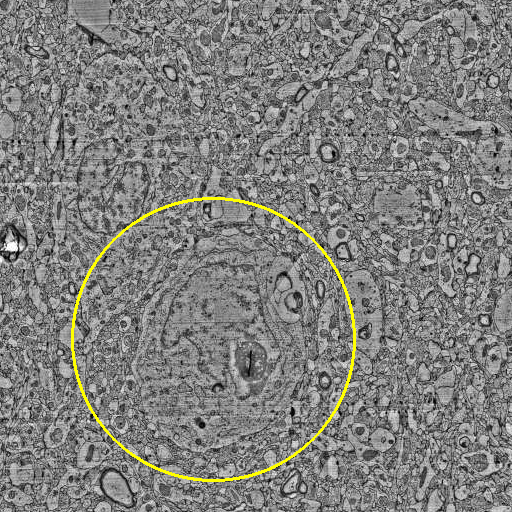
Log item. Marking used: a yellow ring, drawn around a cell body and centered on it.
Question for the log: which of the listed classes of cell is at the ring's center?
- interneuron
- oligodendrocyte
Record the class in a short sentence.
At the center of the ring lies an interneuron.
